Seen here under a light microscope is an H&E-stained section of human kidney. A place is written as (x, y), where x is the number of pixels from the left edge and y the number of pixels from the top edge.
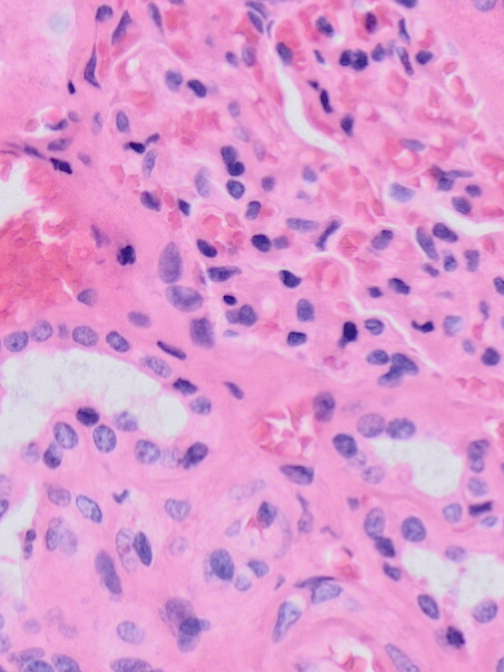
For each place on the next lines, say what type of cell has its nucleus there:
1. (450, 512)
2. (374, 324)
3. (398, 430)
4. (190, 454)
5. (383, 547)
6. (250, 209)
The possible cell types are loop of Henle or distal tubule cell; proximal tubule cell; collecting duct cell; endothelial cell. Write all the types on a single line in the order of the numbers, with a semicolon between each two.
collecting duct cell; endothelial cell; collecting duct cell; collecting duct cell; collecting duct cell; endothelial cell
